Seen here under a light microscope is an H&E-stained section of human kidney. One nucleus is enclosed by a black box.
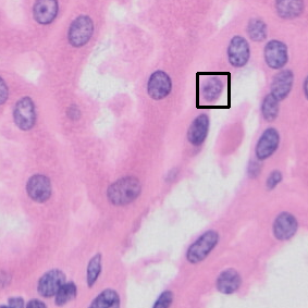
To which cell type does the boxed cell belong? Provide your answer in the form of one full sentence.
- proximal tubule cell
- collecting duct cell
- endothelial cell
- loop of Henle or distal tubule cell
The classification of the boxed cell is as a collecting duct cell.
